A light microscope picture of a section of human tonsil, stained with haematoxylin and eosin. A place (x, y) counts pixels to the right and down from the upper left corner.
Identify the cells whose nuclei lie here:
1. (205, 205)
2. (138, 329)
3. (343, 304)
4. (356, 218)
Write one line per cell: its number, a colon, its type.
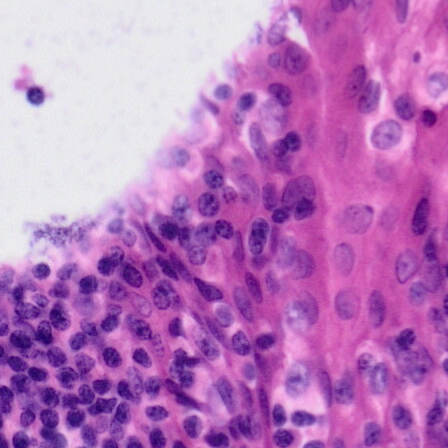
1: plasma cell
2: plasma cell
3: squamous epithelial cell
4: squamous epithelial cell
